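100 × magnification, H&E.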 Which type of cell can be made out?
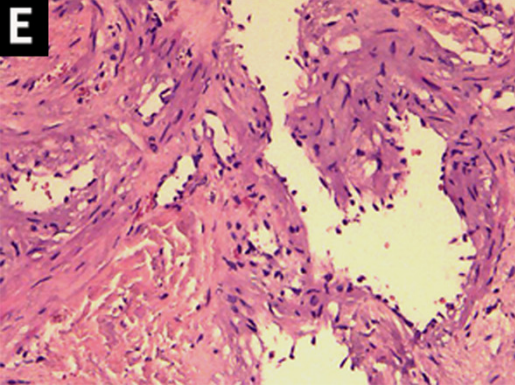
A: Smooth muscle cells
